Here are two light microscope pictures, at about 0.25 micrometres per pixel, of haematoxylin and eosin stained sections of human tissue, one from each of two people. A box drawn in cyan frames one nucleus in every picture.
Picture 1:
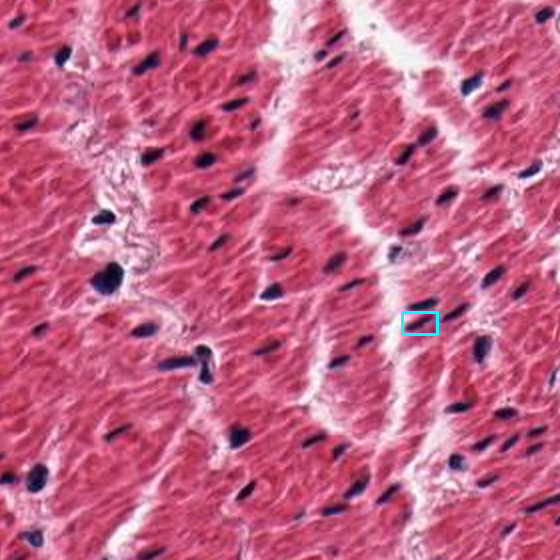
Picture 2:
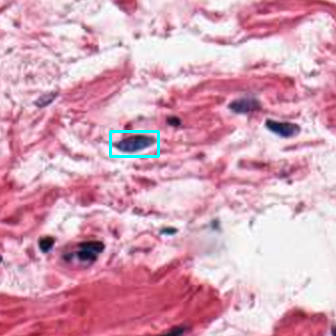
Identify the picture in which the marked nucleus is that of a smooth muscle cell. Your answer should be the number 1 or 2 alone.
1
